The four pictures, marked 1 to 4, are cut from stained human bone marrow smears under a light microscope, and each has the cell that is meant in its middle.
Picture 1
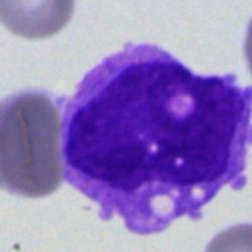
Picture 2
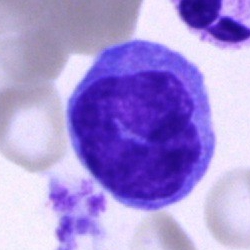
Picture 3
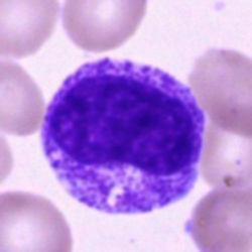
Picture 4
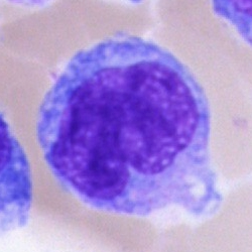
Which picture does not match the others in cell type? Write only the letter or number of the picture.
3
